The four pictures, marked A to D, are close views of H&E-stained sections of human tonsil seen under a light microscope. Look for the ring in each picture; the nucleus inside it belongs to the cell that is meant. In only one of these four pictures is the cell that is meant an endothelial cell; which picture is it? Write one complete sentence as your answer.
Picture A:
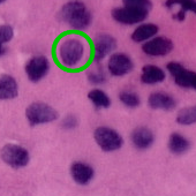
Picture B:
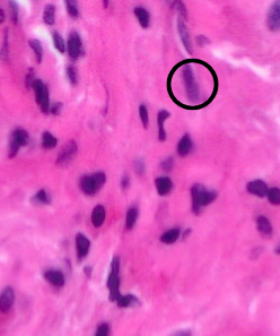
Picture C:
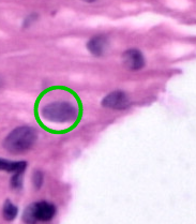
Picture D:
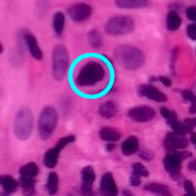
The cell in picture B is the endothelial cell.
